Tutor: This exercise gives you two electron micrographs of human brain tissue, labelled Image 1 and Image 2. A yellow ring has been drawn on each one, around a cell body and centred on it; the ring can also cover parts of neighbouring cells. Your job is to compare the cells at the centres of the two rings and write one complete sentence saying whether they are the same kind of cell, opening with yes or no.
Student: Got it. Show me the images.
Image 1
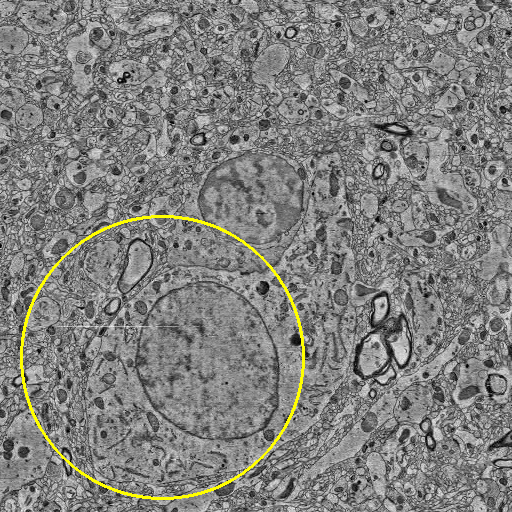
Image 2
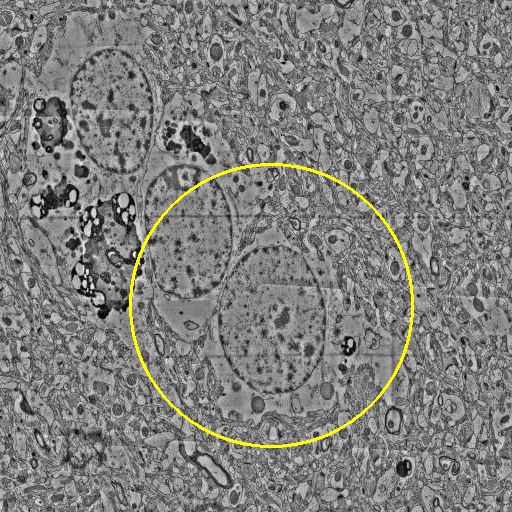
No, the two cells belong to two kinds.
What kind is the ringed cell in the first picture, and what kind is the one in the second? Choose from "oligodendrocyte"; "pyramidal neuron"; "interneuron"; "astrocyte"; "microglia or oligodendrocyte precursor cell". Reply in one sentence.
The first cell is a pyramidal neuron; the second is an astrocyte.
